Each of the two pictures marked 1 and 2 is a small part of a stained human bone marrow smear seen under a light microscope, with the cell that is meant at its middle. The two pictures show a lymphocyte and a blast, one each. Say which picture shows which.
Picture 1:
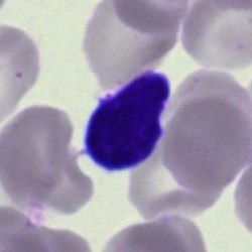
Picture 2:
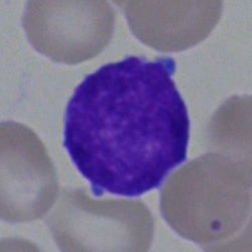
1: lymphocyte
2: blast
